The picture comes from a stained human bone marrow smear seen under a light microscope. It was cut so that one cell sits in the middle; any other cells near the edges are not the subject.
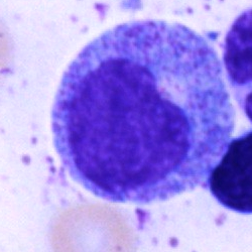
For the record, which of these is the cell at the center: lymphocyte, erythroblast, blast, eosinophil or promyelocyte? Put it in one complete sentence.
By type, the central cell of the crop is a promyelocyte.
